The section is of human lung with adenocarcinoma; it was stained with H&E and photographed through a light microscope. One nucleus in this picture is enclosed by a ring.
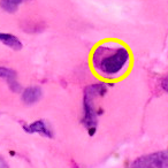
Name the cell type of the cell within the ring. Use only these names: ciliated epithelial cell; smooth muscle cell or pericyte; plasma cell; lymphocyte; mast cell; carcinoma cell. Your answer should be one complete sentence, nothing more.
What the cell within the ring represents is a plasma cell.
